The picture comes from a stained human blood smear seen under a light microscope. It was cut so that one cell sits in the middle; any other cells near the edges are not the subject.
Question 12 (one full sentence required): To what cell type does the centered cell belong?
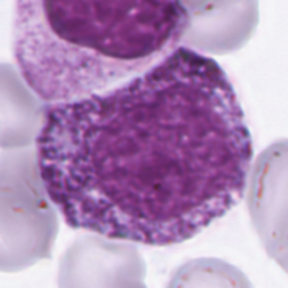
Of the cells in this crop, the central one is a promyelocyte.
